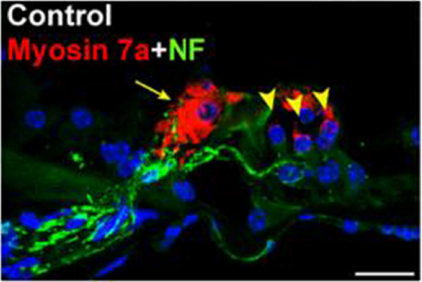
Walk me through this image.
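This cross-section of the organ of Corti shows one large red-filled hair cell on the inner side and three smaller red hair cells in a row to its right. The large cell is the inner hair cell, and the three small ones are the outer hair cells, each with a round blue nucleus. A dense bundle of green nerve fibres enters from the lower left and sends fine fibres up to the base of the inner hair cell. Thinner green fibres also run across the floor of the epithelium toward the outer hair cells. Blue nuclei of supporting cells are scattered around and beneath the hair cells.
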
